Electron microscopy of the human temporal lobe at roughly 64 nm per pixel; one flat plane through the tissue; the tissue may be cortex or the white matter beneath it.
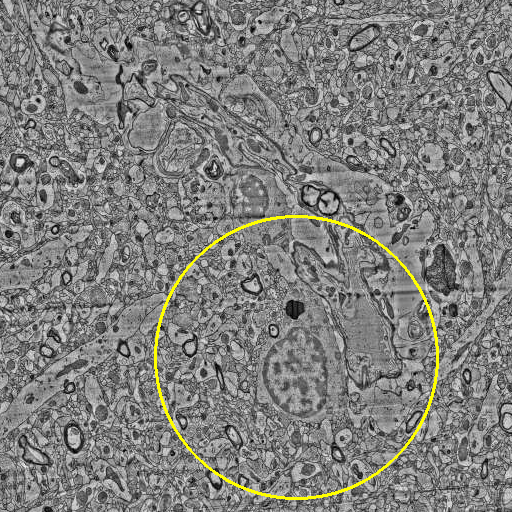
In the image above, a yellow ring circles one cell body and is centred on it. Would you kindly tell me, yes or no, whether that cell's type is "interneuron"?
no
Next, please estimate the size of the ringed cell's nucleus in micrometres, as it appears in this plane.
The nucleus comes to roughly 6 by 4 micrometres in this plane.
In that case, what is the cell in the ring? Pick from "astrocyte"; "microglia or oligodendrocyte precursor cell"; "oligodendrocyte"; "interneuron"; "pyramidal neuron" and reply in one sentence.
The correct answer is that the cell is an oligodendrocyte.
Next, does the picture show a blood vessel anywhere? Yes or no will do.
Yes, there is a blood vessel.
